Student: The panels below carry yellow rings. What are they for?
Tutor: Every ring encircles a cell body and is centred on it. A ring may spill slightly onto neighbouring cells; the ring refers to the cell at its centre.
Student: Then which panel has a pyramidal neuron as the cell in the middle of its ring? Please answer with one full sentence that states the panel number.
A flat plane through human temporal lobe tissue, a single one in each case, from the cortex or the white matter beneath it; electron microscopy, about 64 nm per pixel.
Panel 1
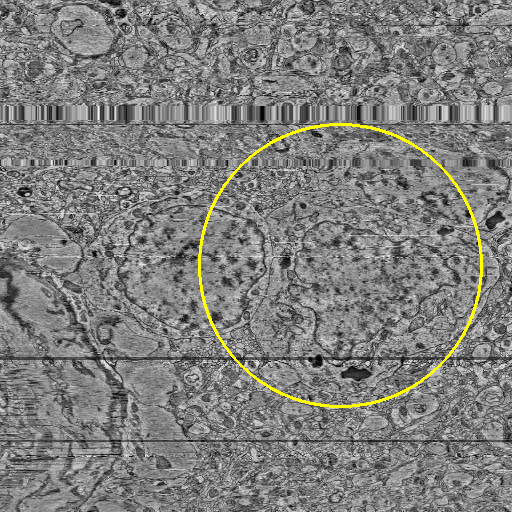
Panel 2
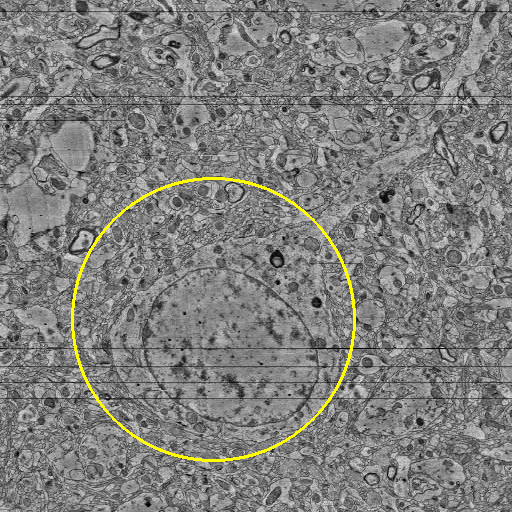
In Panel 2, the cell centred in the ring is the one sought.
